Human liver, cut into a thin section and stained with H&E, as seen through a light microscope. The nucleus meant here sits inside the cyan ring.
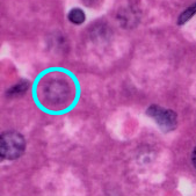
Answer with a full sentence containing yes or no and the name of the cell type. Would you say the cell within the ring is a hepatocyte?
Yes, it is as a hepatocyte that the cell within the ring is classified.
